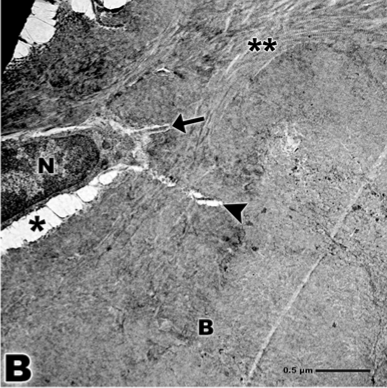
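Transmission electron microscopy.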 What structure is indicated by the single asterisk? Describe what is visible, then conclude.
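Lacuna. The asterisk lies in a pale, electron-lucent space beside a dark nucleus. The space separates the cell from the surrounding dense matrix.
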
